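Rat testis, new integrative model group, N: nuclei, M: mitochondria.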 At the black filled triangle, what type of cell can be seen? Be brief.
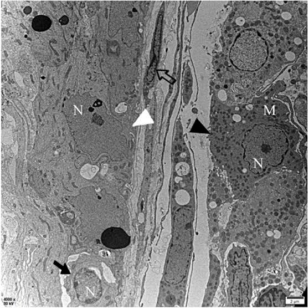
Leydig cell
